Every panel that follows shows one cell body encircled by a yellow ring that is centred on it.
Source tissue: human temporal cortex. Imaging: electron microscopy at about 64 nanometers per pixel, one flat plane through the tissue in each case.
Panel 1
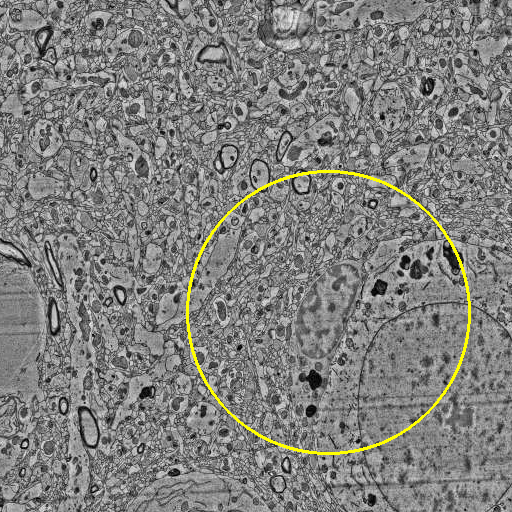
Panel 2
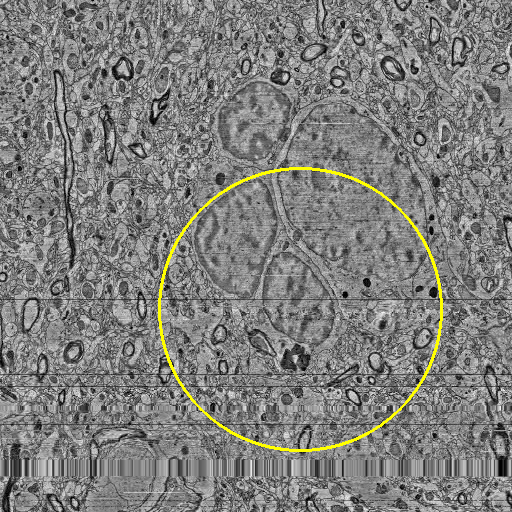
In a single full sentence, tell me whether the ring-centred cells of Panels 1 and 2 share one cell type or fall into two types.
In Panel 1 and Panel 2, the cells at the ring centres share one cell type.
